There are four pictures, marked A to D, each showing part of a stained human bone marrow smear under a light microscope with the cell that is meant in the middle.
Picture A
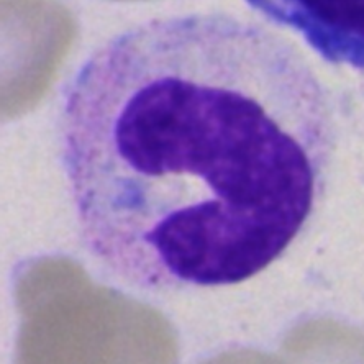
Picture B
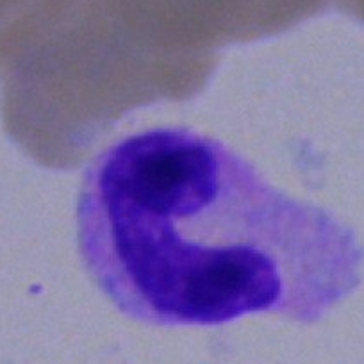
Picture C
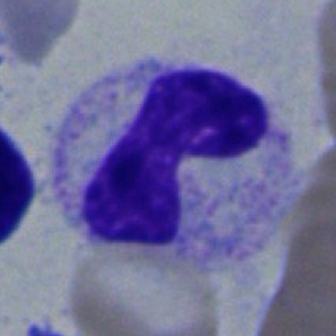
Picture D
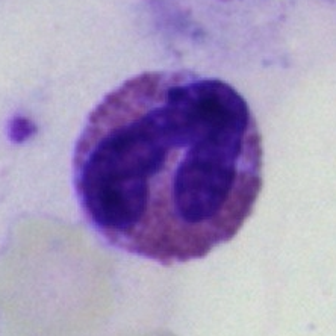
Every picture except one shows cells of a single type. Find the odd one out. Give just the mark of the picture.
D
